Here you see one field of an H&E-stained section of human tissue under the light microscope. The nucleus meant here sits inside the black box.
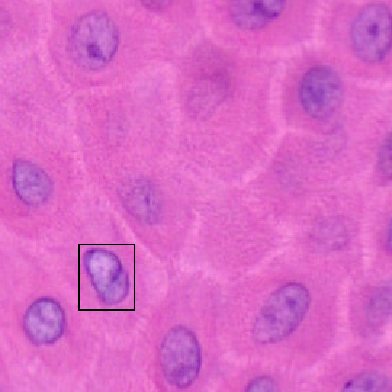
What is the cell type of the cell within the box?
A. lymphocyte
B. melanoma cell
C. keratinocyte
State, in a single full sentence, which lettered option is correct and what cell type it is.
The correct option is C, and the cell within the box is a keratinocyte.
